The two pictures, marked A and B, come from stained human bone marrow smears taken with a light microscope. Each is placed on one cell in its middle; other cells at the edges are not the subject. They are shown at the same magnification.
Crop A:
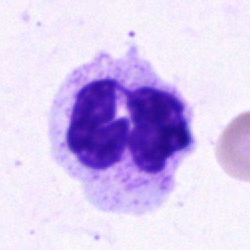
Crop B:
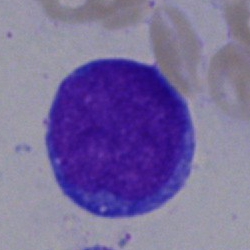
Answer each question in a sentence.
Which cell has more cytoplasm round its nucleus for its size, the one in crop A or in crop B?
In crop A the nucleus takes up the smaller part of its cell.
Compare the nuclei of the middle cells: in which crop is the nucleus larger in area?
Larger is the nucleus in crop B, at roughly 2 times the area of the other.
